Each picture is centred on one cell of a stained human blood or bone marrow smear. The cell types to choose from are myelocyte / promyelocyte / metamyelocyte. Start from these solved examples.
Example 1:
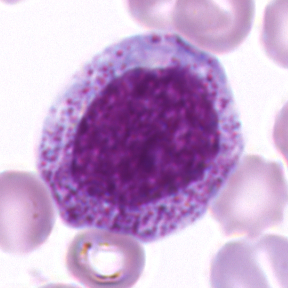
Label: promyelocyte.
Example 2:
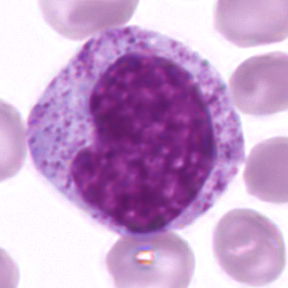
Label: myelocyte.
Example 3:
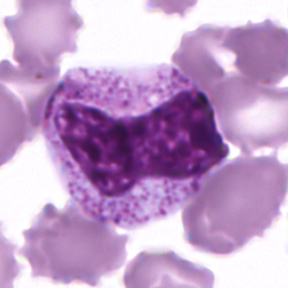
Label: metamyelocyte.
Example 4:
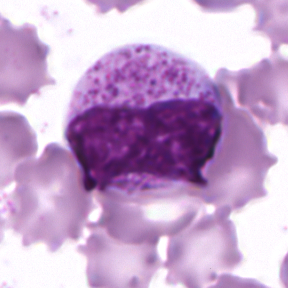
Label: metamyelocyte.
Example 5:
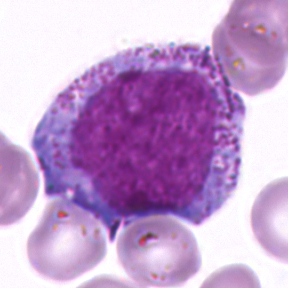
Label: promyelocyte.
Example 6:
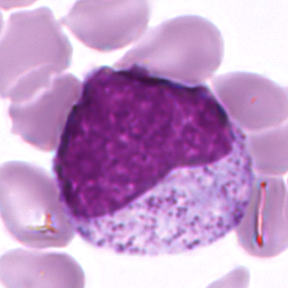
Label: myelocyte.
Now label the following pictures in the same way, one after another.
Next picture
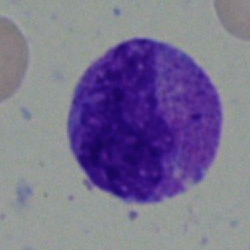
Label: myelocyte.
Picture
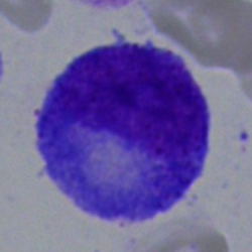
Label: promyelocyte.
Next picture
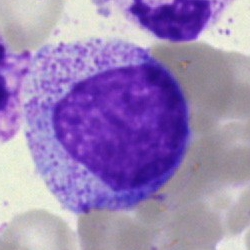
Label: myelocyte.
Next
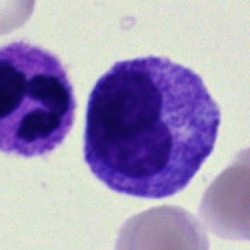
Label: metamyelocyte.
